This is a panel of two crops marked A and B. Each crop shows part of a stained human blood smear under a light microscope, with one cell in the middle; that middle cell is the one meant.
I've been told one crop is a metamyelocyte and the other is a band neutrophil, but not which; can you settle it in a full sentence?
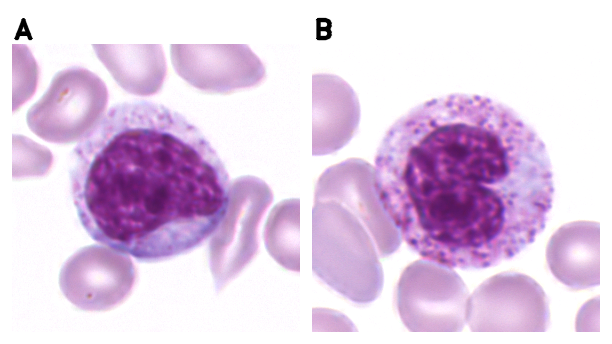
Crop A contains a metamyelocyte, and crop B contains a band neutrophil.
